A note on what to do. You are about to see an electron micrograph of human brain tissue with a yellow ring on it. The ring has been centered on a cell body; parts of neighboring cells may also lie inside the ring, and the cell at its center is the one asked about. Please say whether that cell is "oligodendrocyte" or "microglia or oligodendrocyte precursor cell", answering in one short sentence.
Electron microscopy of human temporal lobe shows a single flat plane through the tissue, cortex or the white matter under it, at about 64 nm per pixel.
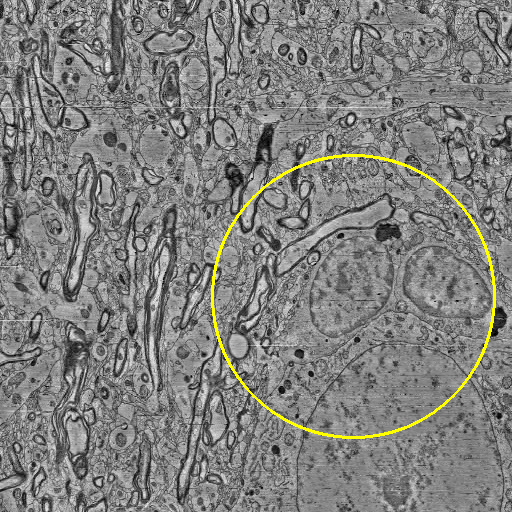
The yellow ring sits on an oligodendrocyte.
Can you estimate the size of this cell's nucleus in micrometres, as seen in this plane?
The nucleus is approximately 7 micrometers long by 5 micrometers wide in this plane.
